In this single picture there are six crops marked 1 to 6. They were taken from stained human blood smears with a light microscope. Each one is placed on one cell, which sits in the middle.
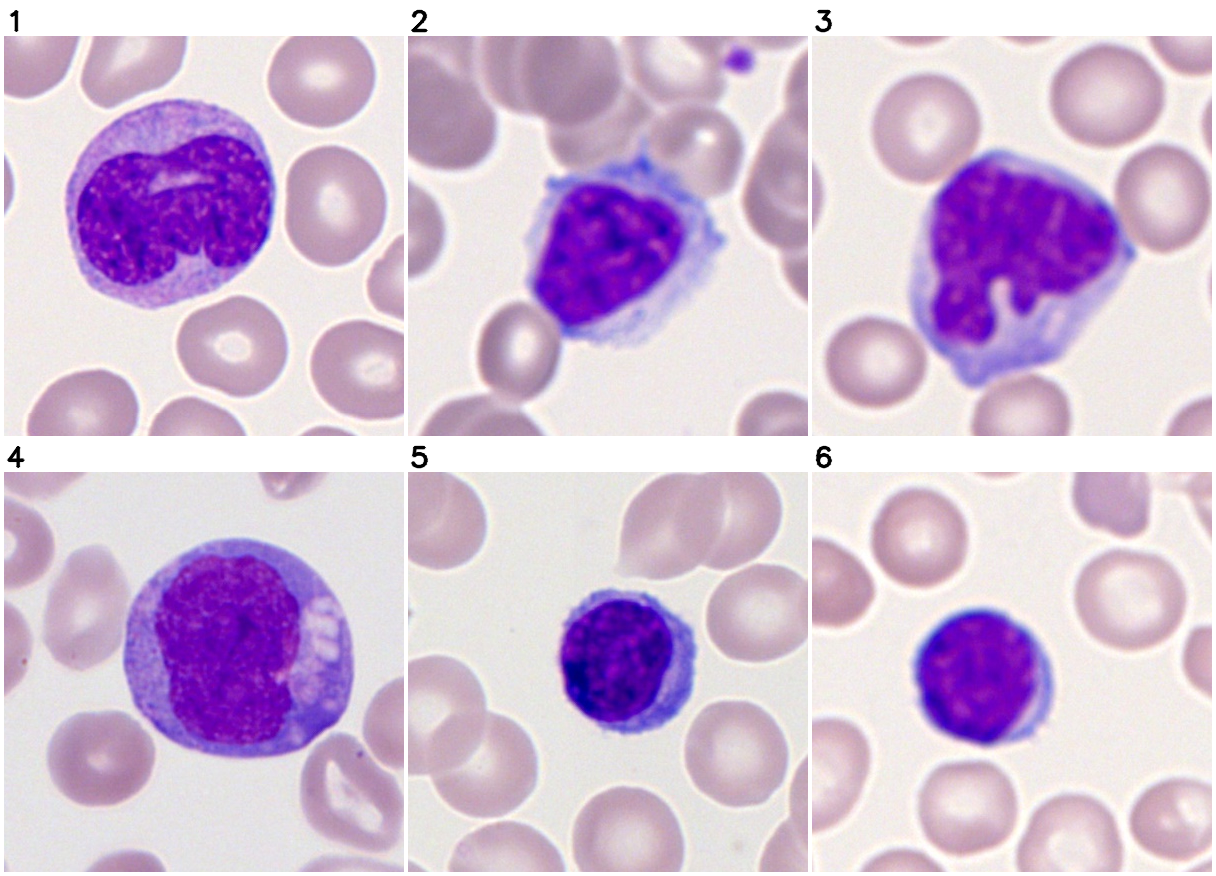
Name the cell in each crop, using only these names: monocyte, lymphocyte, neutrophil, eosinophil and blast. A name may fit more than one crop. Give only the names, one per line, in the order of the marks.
monocyte
lymphocyte
monocyte
blast
lymphocyte
lymphocyte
